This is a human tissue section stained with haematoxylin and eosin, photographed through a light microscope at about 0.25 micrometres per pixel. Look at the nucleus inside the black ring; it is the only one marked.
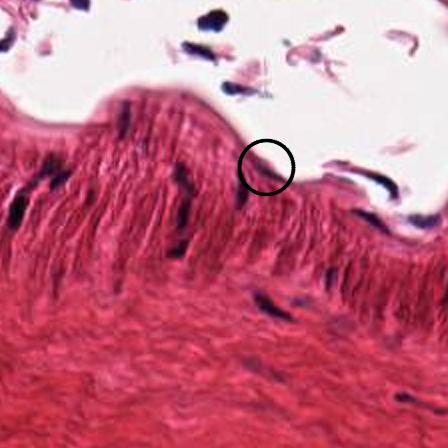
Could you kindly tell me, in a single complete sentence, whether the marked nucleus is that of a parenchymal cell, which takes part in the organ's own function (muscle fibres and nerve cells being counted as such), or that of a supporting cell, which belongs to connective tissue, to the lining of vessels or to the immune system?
The marked nucleus is the nucleus of a supporting cell in this section.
